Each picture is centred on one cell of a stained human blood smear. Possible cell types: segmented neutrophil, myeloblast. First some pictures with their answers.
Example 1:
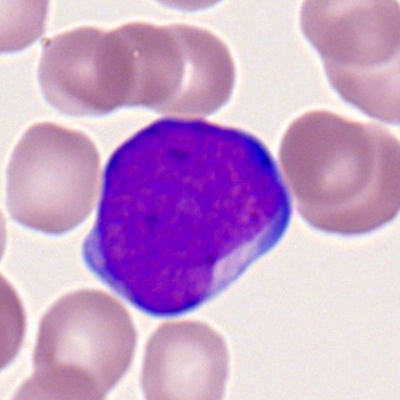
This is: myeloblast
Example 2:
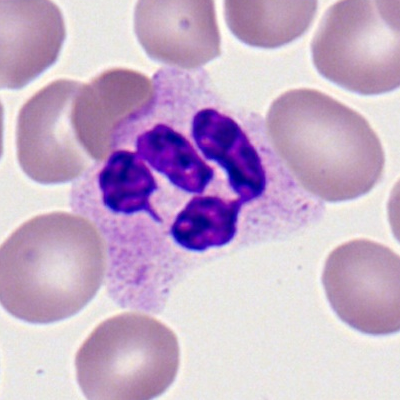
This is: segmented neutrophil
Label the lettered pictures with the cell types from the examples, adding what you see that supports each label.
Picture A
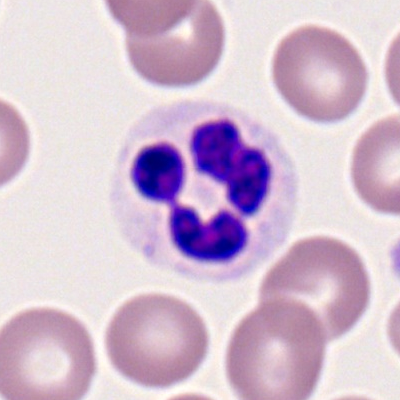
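segmented neutrophil. Evidence: The cytoplasm is abundant and pale pinkish-lilac.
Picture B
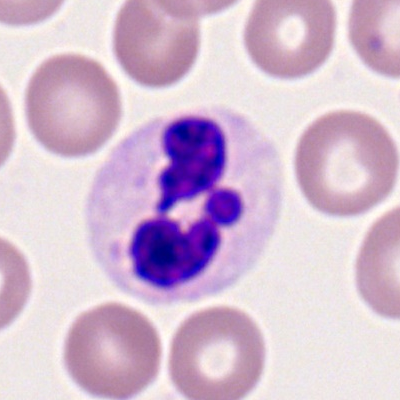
segmented neutrophil. Evidence: The nucleus is divided into several separate lobes.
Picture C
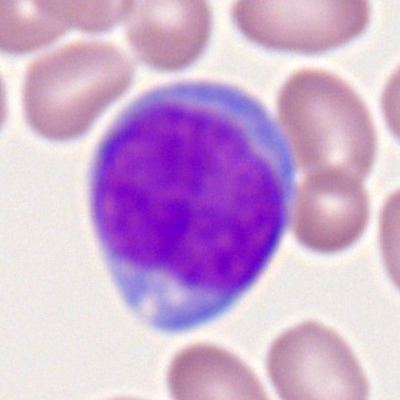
myeloblast. Evidence: The nucleus fills most of the cell.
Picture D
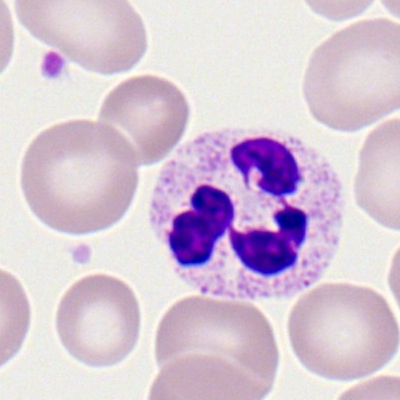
segmented neutrophil. Evidence: The cytoplasm is plentiful and pale pink.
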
